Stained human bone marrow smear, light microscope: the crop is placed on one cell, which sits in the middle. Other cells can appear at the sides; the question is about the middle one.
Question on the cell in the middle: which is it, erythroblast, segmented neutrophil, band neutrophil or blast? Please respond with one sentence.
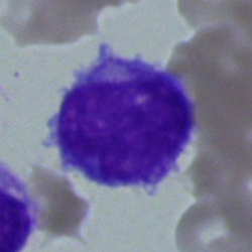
For this crop, the central cell is a blast.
